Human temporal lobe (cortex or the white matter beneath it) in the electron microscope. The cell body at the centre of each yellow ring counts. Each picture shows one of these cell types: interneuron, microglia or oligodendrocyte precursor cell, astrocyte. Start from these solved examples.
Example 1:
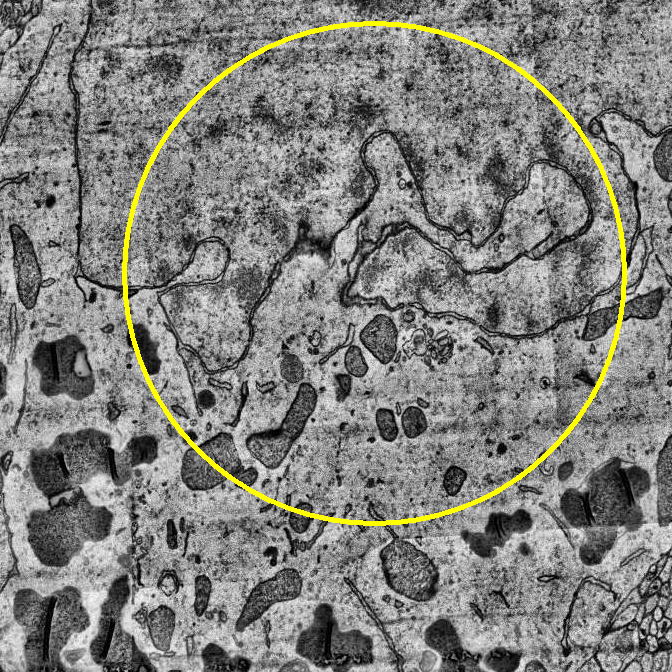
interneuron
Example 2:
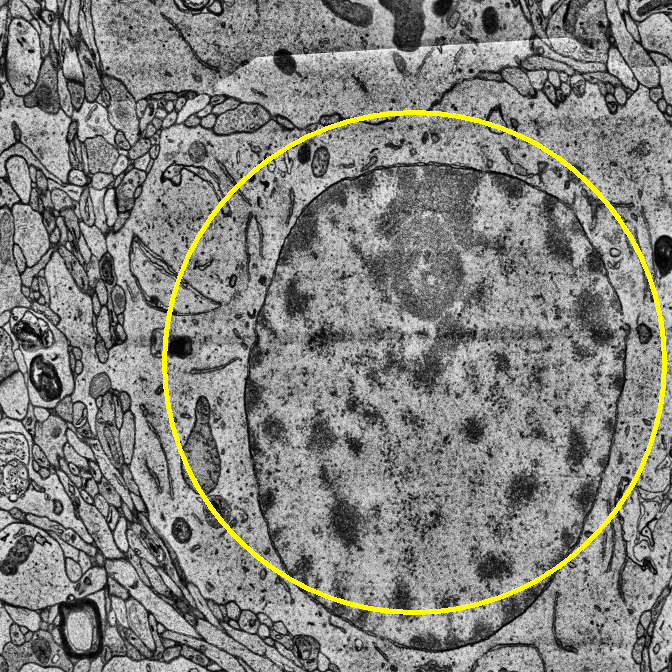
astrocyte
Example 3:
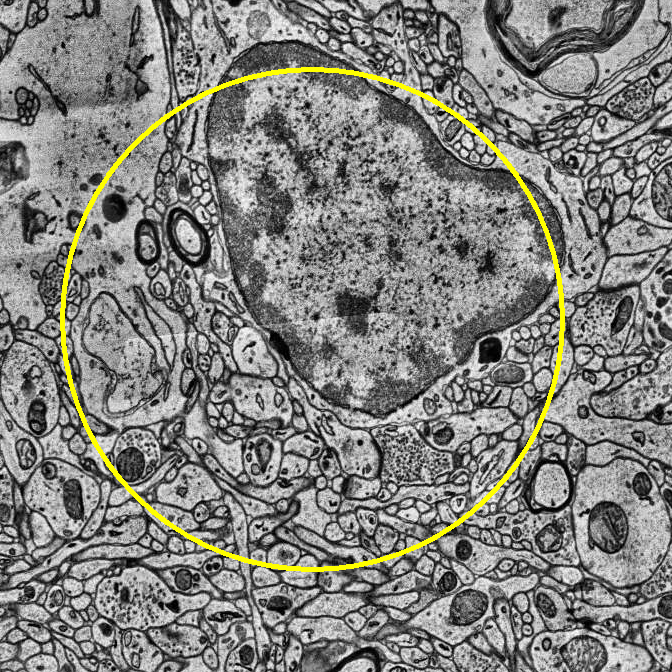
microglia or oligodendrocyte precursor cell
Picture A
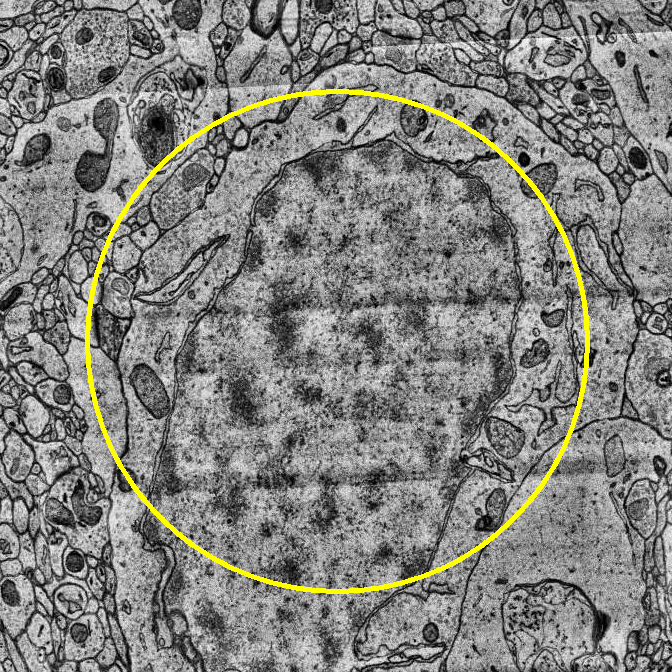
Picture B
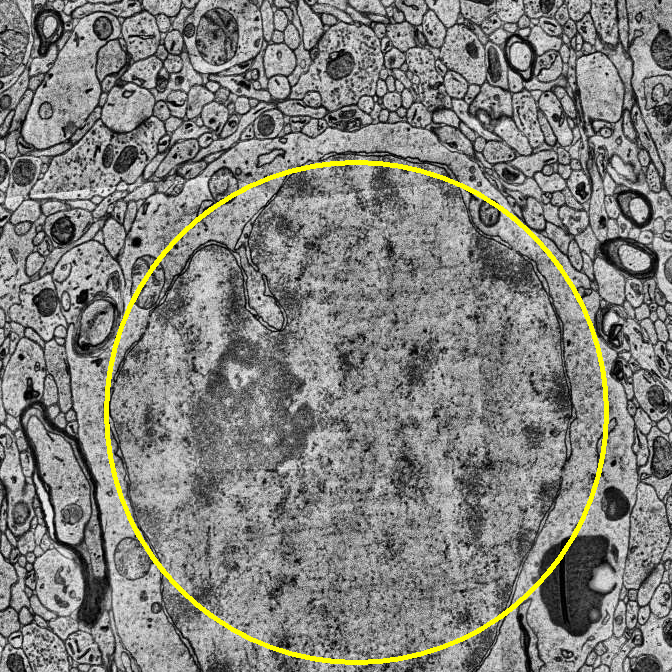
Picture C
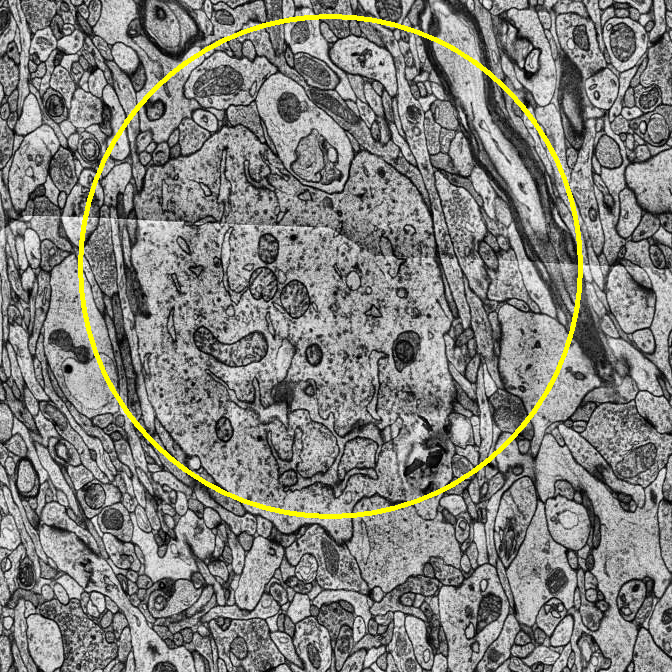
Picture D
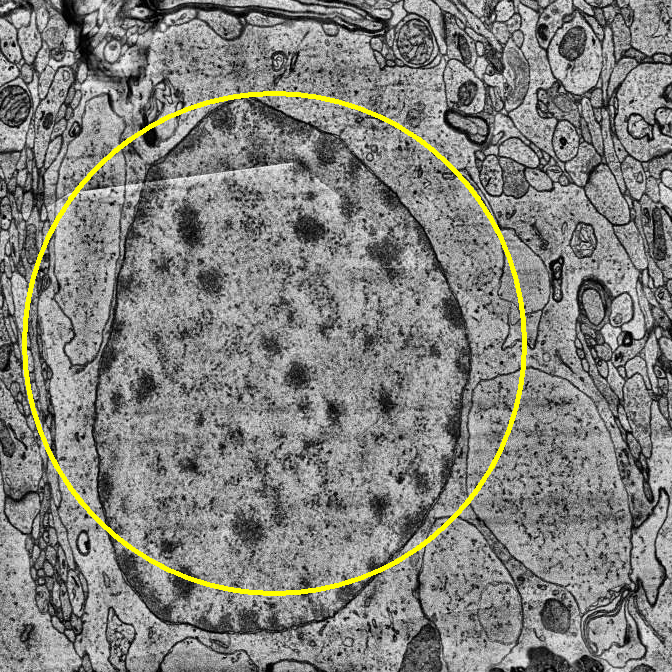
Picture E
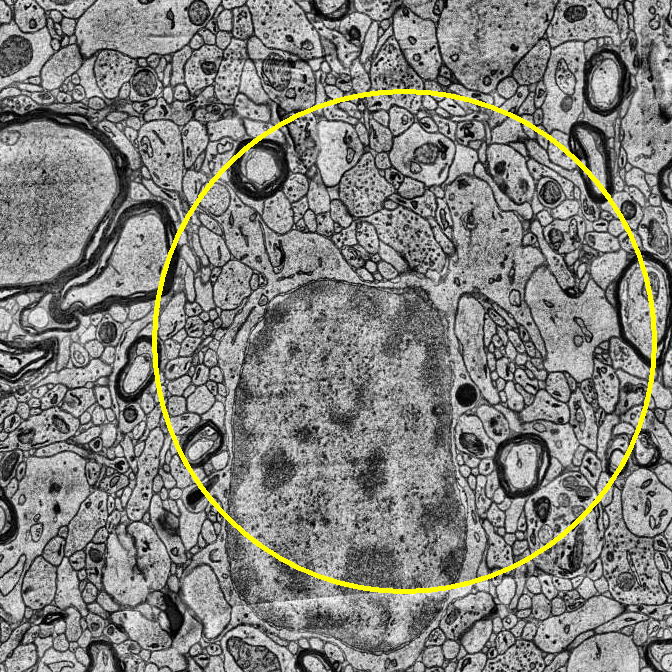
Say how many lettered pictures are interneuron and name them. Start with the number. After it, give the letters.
3, namely A, B, C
